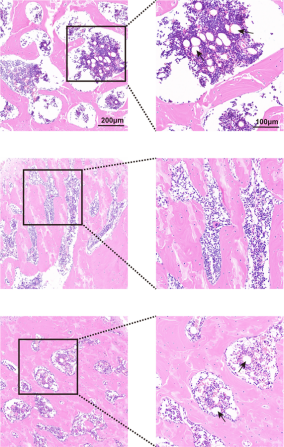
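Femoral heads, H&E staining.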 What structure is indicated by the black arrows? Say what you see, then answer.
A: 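Fat vacuoles. The arrows point at round, empty, clear spaces inside the marrow between bone trabeculae. The clear spaces have thin rims and no stained contents. The top pair of images has many such clear spaces crowded among purple marrow cells.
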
